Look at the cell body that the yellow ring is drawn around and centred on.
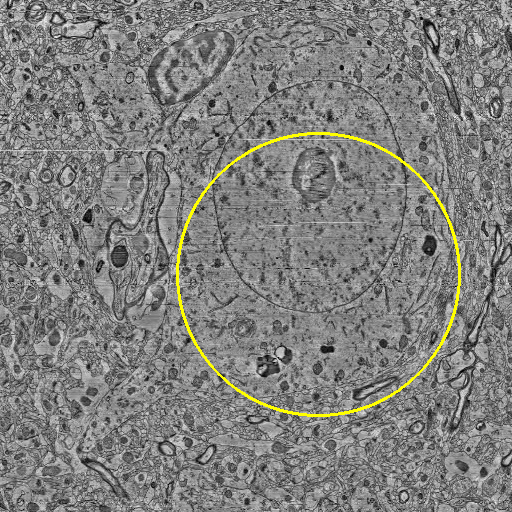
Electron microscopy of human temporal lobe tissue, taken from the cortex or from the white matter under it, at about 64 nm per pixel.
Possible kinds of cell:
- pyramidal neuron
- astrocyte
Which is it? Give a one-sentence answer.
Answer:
The centred cell body is that of a pyramidal neuron.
